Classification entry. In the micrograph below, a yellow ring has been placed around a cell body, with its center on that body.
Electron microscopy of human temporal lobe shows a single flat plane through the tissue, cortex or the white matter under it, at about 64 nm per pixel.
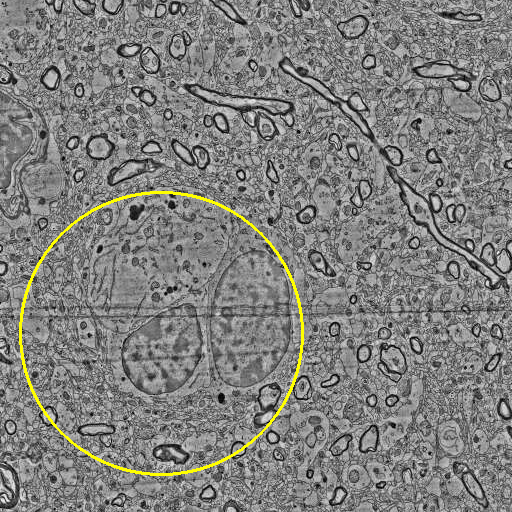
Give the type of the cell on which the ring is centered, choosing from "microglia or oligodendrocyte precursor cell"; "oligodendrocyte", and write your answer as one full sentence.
The cell body at the center of the yellow ring belongs to a microglial cell or oligodendrocyte precursor cell.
